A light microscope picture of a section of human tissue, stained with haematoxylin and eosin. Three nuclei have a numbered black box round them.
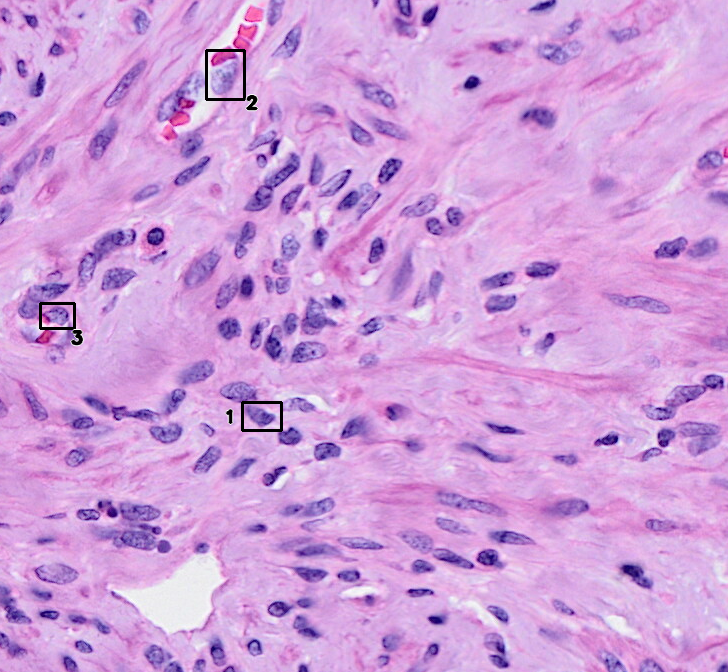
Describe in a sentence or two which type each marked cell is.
Cell 1 is a fibroblast. Cells 2 and 3 are endothelial cells.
